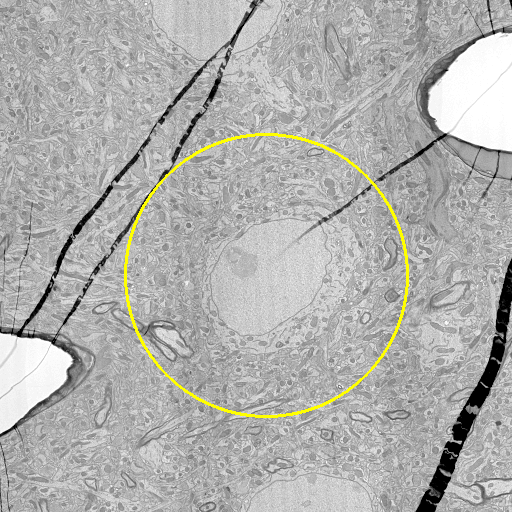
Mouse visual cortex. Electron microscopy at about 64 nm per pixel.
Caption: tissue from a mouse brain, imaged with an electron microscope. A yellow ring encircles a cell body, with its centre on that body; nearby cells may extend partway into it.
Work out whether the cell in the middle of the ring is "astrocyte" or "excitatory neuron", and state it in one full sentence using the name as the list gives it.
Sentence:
In the picture, the cell that the yellow ring surrounds at its centre is an excitatory neuron.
